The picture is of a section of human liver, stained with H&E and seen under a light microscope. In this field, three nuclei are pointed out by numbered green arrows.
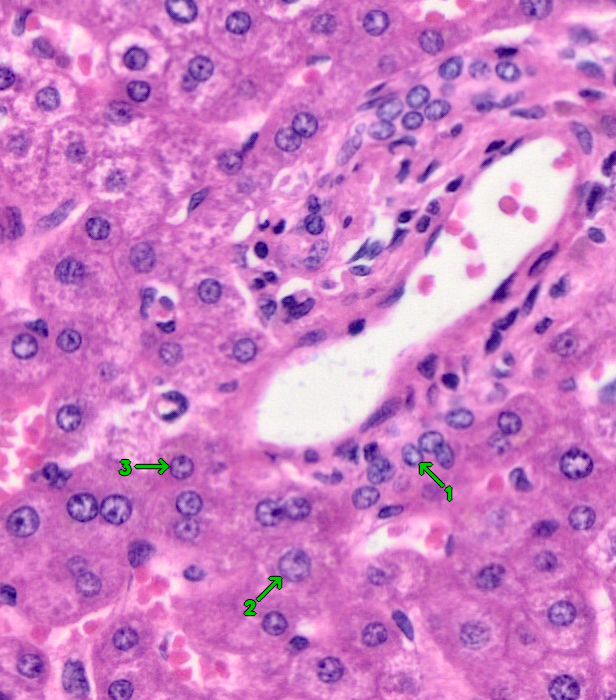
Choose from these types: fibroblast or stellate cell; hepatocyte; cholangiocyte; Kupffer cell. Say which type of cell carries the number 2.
hepatocyte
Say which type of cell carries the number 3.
hepatocyte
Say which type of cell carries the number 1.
cholangiocyte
